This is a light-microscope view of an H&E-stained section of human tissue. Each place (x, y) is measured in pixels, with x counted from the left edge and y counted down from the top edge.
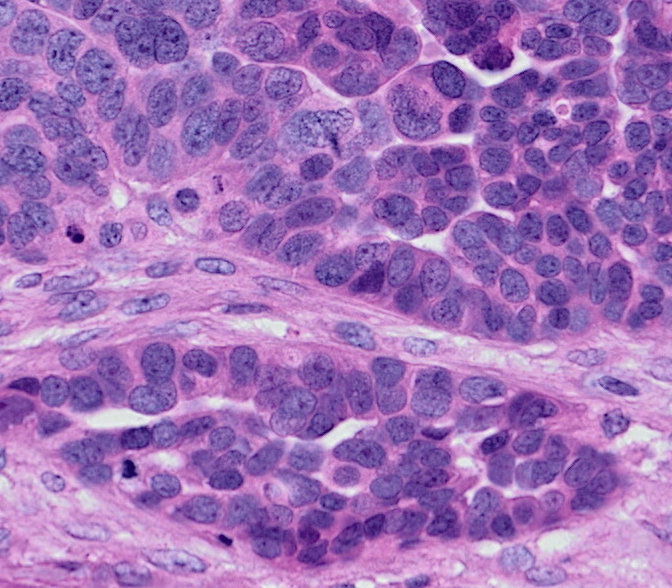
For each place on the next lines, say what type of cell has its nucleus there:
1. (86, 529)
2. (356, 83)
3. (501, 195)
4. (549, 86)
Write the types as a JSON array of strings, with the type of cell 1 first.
["fibroblast", "carcinoma cell", "carcinoma cell", "carcinoma cell"]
